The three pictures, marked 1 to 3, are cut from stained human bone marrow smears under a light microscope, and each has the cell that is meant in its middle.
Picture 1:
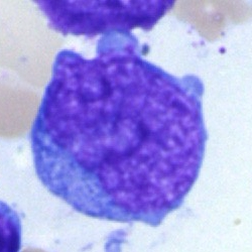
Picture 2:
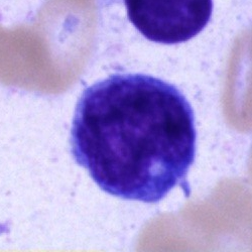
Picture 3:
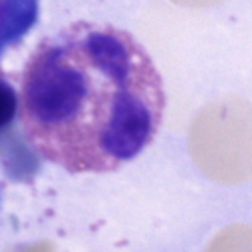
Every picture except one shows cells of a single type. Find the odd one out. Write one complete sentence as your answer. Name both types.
Picture 3 differs, because its cell is an eosinophil and the rest are blasts.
